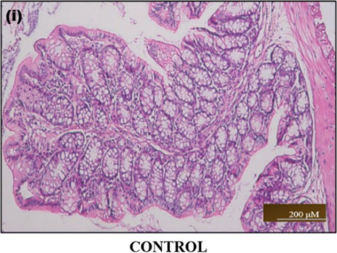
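This is colonic mucosa with its crypts seen at low power, cut so that many crypts appear as rounded or tubular profiles. Each crypt is lined by a single layer of epithelium in which many pale, clear goblet cells alternate with purple-nucleated cells, giving a honeycomb look. The crypts are evenly spaced and similar in size, separated by thin strands of lamina propria with scattered small nuclei. The surface faces a clear lumen at the upper left, and a pink band of smooth muscle runs along the right edge. The architecture is regular, with no crowding or dense cell clusters.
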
